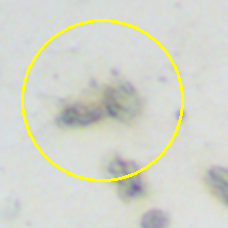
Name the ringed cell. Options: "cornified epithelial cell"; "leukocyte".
cornified epithelial cell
